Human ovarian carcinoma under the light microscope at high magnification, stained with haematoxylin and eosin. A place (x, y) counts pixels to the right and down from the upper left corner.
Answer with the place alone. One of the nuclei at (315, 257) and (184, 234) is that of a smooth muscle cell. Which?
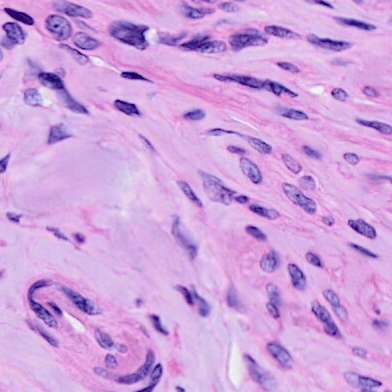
(315, 257)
